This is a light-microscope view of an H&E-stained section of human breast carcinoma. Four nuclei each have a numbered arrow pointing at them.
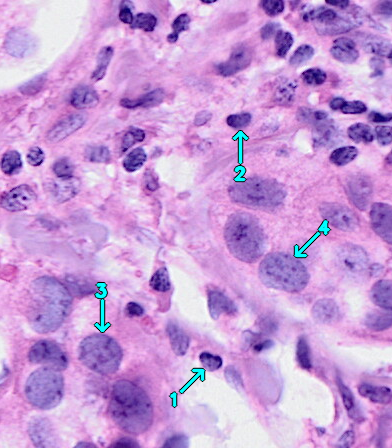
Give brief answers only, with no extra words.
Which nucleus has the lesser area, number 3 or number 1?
1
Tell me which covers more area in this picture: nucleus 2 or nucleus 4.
4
